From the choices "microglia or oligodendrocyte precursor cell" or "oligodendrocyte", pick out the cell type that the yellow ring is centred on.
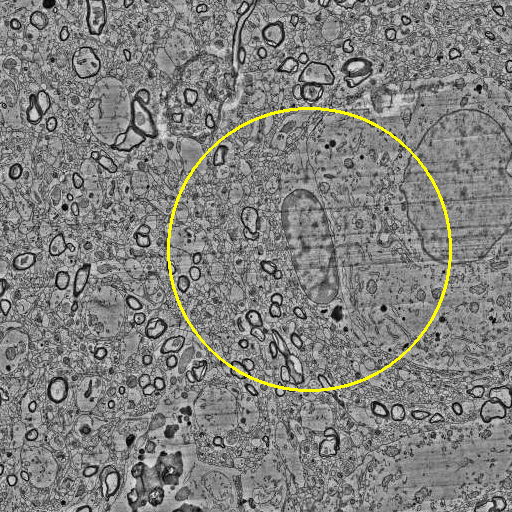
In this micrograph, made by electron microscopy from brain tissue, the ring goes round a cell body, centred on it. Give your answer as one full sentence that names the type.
The yellow ring is centred on a microglial cell or oligodendrocyte precursor cell, whose cell body it encircles in the picture.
